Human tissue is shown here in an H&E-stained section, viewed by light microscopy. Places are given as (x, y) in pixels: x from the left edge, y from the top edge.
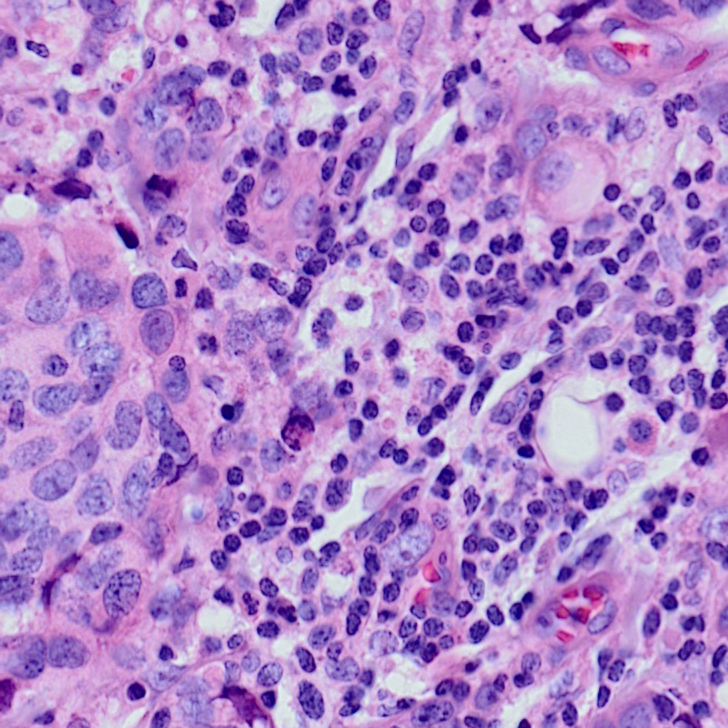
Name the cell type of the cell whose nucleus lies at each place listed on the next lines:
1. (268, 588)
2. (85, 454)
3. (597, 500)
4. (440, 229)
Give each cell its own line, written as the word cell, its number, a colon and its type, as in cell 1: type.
cell 1: lymphocyte
cell 2: carcinoma cell
cell 3: lymphocyte
cell 4: lymphocyte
